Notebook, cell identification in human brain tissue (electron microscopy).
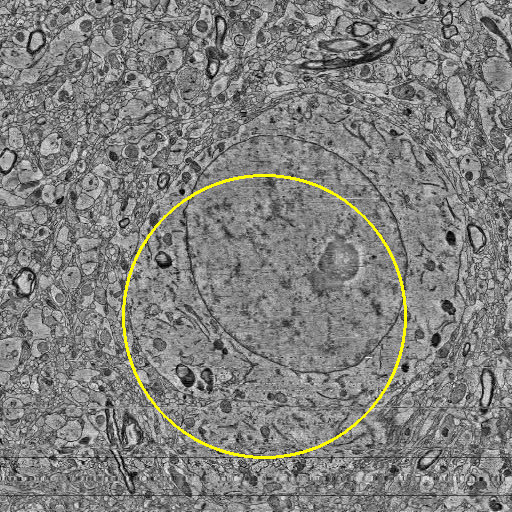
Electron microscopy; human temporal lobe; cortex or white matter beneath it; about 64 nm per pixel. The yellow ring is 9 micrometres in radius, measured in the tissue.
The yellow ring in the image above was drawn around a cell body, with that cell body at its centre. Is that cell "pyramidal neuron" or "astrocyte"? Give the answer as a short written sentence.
The cell in the ring is a pyramidal neuron.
